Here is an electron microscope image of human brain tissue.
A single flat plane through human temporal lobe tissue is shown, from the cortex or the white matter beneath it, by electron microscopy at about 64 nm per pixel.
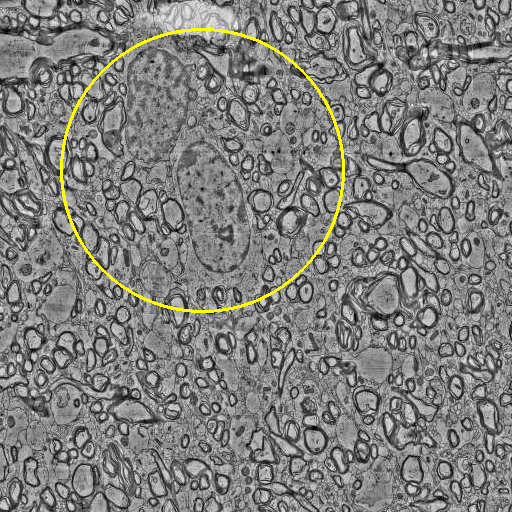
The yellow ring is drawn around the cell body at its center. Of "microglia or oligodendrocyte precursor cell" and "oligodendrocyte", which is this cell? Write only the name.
microglia or oligodendrocyte precursor cell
